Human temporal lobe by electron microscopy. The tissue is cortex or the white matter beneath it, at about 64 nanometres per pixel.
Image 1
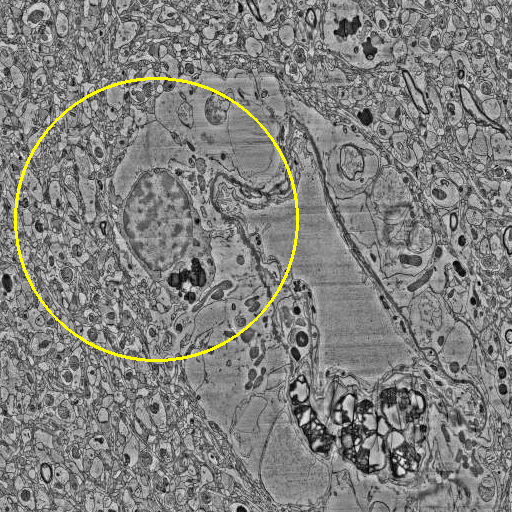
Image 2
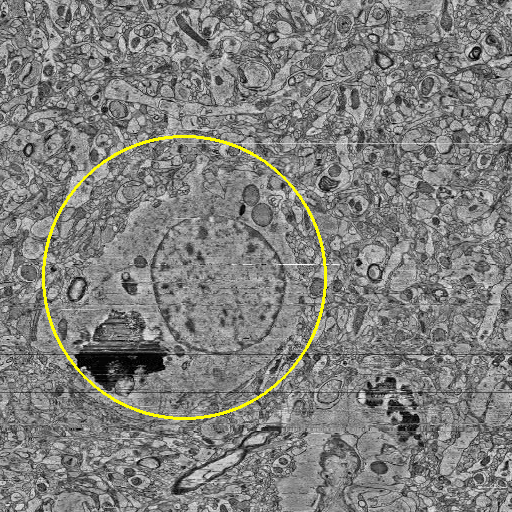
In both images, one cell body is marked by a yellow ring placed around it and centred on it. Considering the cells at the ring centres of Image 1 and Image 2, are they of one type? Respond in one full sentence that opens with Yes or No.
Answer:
No, two types apply to the ring-centred cells of Image 1 and Image 2.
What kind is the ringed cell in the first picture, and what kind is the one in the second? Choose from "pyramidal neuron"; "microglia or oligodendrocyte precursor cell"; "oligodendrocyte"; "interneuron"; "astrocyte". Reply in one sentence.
The first cell is an oligodendrocyte; the second is an astrocyte.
